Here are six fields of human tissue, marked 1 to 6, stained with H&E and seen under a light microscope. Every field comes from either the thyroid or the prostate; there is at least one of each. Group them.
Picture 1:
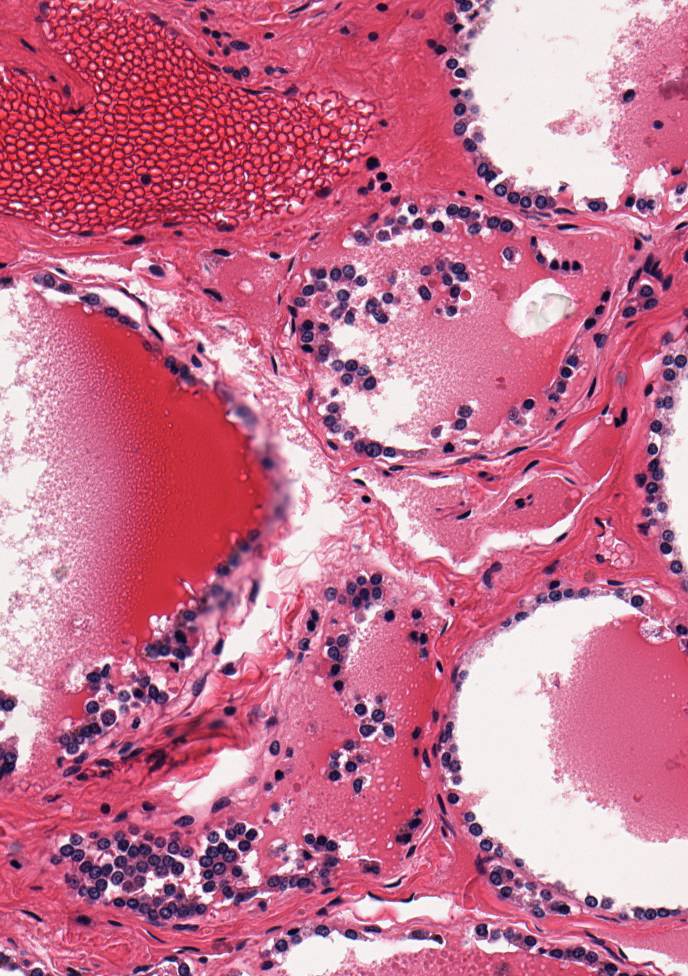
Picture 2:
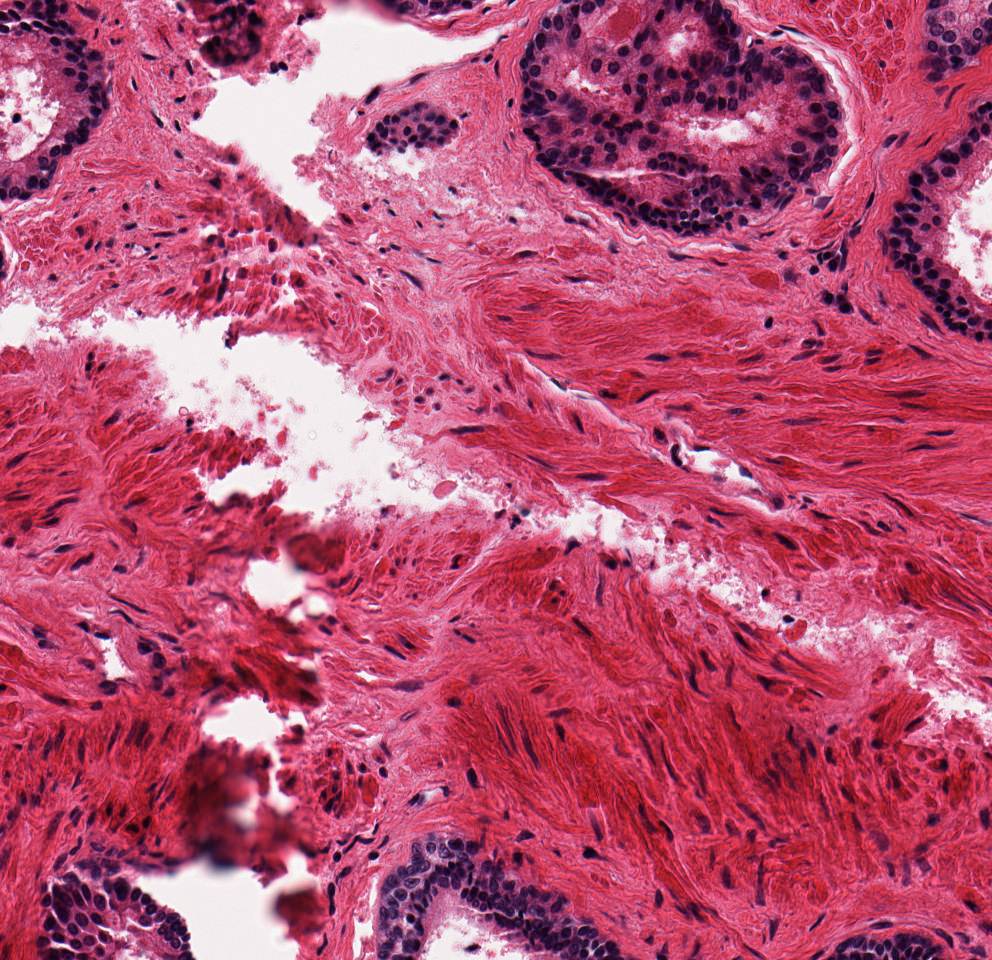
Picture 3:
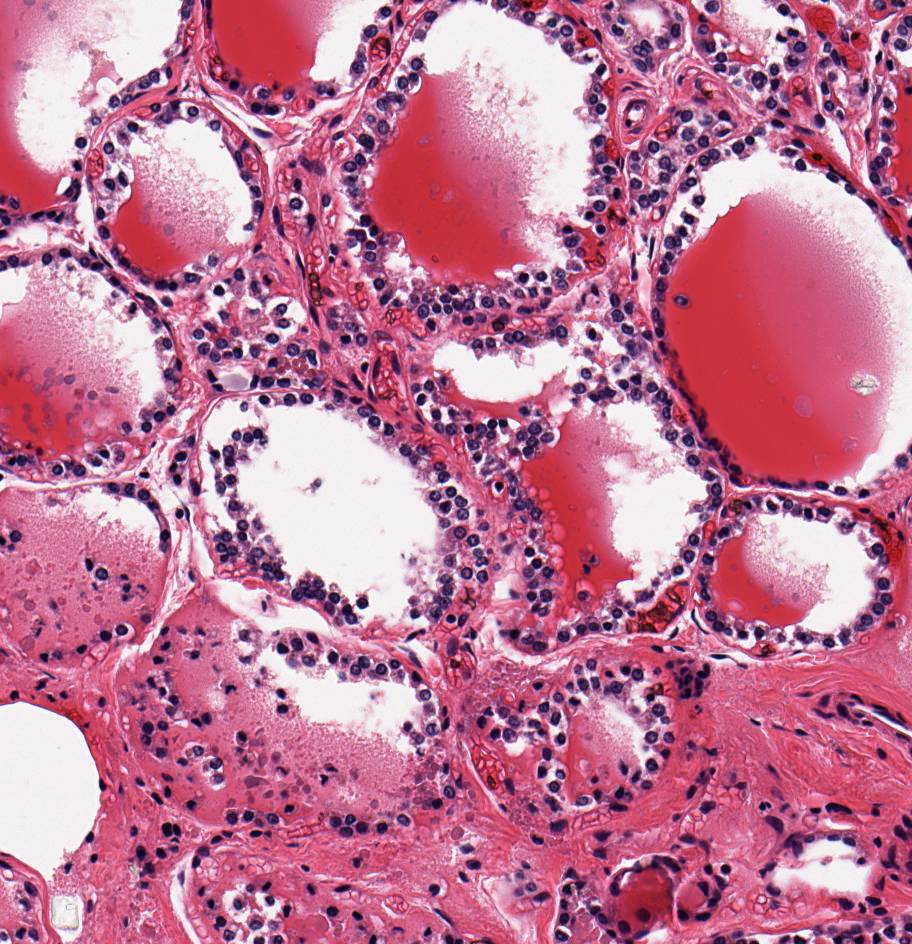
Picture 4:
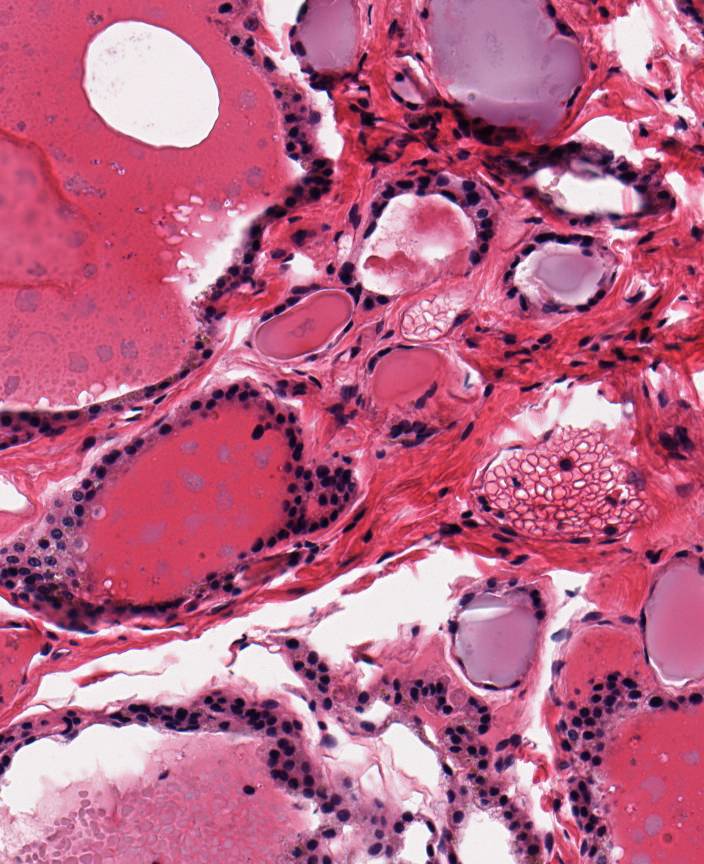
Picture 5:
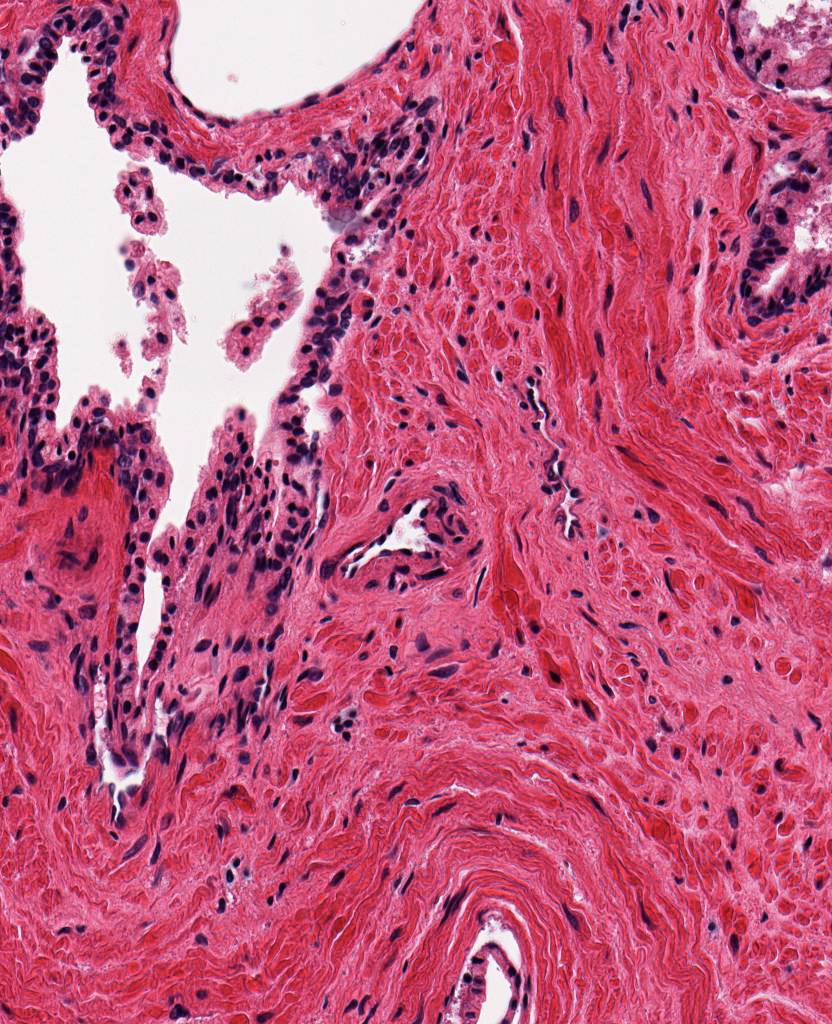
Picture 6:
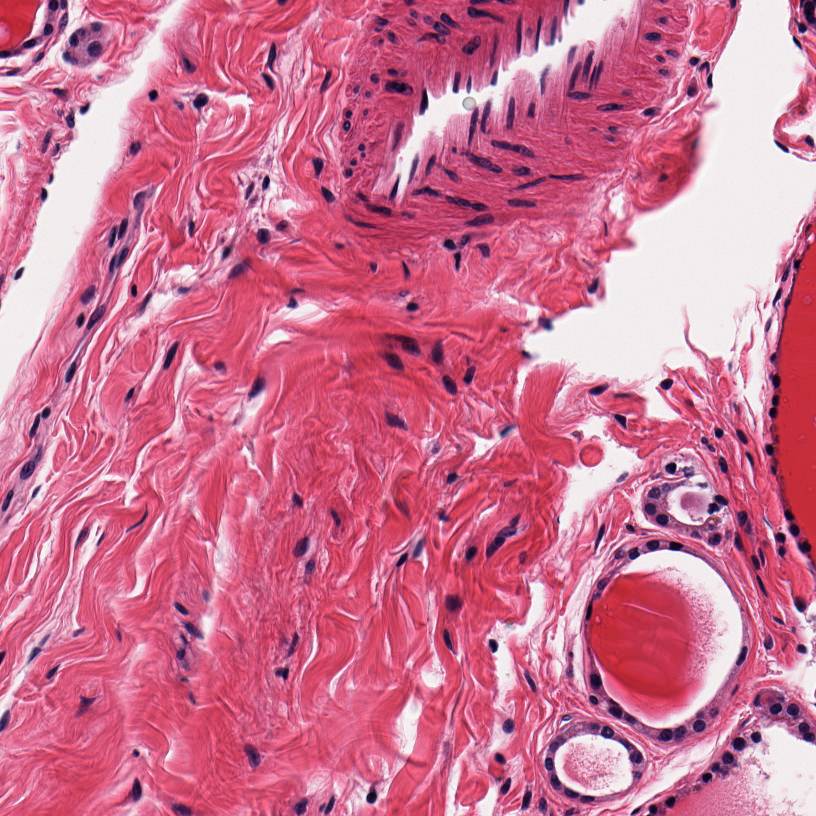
1: thyroid
2: prostate
3: thyroid
4: thyroid
5: prostate
6: thyroid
